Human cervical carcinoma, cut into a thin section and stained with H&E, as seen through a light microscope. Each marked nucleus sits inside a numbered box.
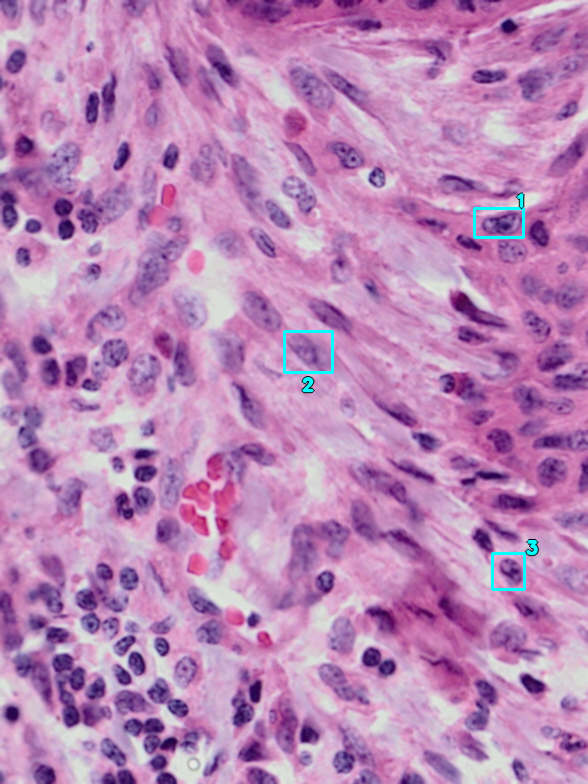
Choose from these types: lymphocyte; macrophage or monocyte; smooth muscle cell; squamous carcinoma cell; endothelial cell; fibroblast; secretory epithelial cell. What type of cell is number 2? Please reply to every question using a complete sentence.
The numbered cell 2 is identified here as a fibroblast.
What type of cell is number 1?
Regarding cell 1, this one is a squamous carcinoma cell.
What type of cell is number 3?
The cell tagged with 3 in this tissue section is a macrophage or monocyte.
